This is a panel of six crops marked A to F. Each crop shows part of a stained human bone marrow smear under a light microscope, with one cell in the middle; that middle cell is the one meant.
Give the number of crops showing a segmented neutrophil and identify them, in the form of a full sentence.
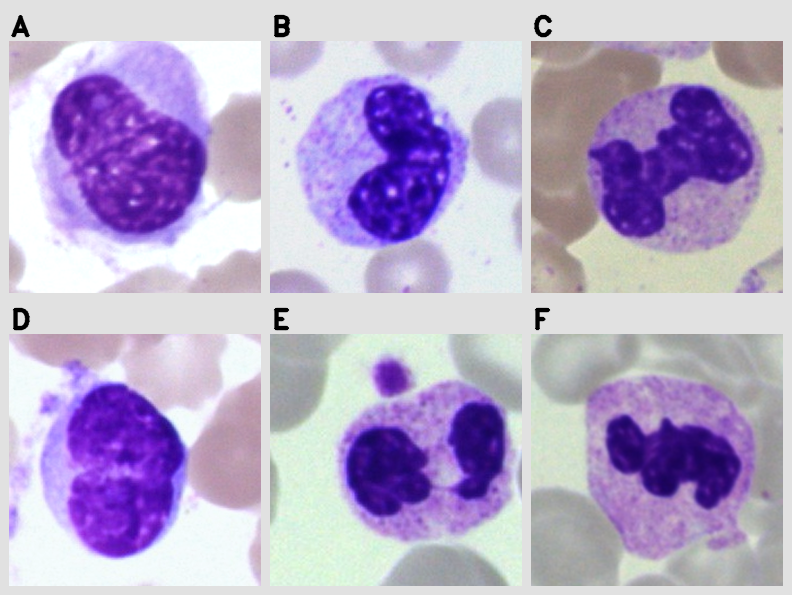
In total, three crops show segmented neutrophils, namely crops C, E and F.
